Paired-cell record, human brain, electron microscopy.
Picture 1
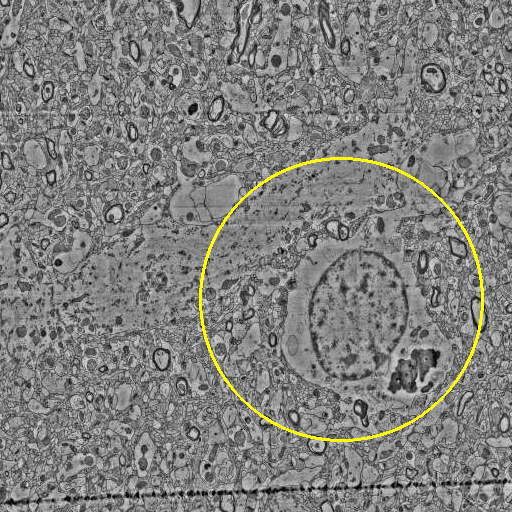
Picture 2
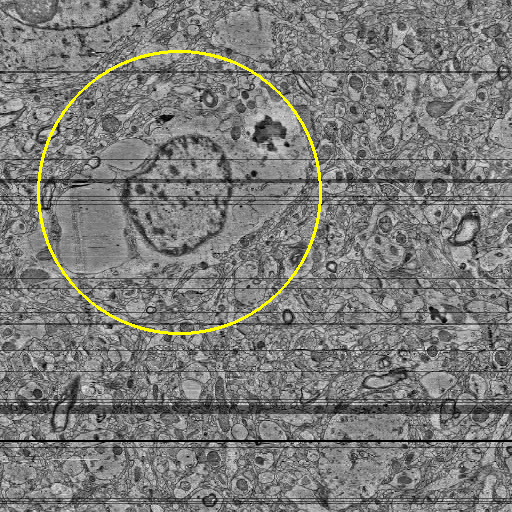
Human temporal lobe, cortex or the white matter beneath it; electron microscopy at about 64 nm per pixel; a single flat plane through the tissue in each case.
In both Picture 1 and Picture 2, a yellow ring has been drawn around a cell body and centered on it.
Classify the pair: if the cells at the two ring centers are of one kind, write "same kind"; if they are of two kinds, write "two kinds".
same kind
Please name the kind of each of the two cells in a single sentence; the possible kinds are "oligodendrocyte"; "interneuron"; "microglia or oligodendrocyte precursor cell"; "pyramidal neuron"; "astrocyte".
Each one of the two ringed cells is an astrocyte.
